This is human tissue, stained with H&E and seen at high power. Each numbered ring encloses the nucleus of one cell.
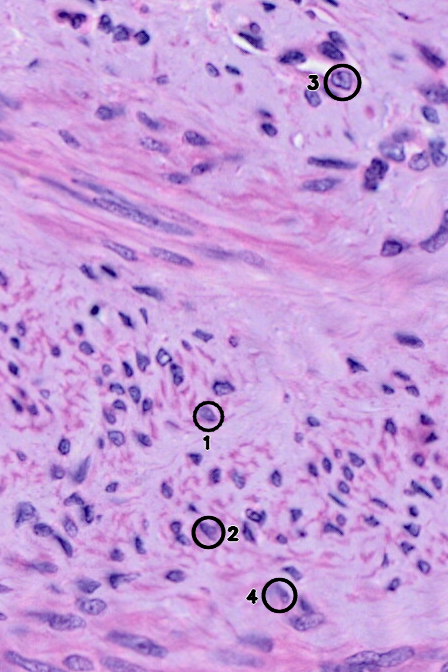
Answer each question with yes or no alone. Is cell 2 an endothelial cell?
no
